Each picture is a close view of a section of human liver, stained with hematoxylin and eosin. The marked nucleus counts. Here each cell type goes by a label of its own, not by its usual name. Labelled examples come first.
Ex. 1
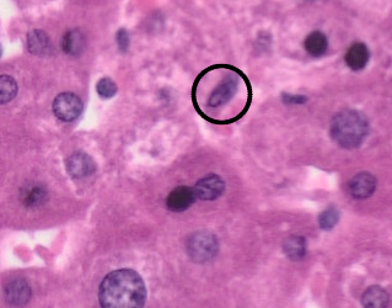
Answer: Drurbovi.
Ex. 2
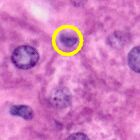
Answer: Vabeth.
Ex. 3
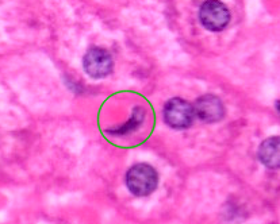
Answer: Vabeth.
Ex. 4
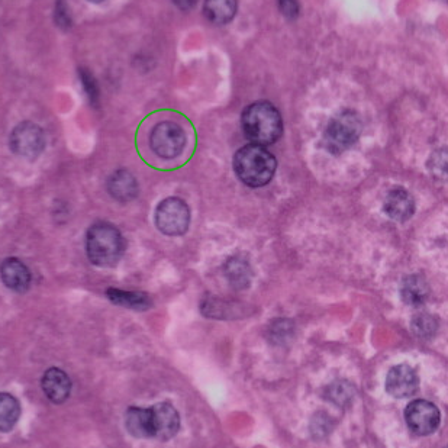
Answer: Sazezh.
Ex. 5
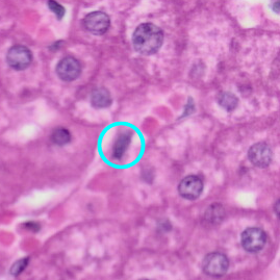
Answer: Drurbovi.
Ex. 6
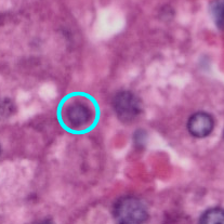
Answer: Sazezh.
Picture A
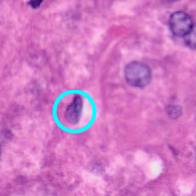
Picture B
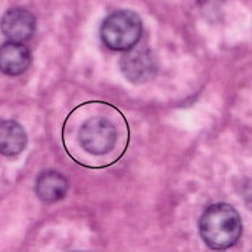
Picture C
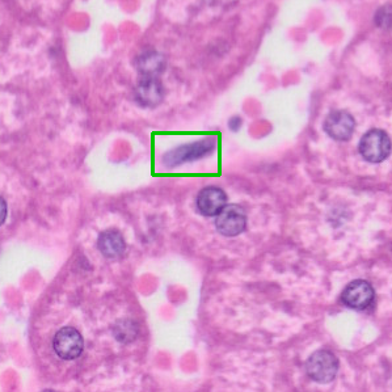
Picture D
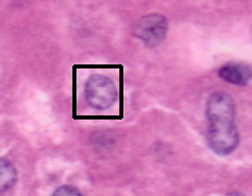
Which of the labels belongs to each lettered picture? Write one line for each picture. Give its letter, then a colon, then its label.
A: Vabeth.
B: Sazezh.
C: Drurbovi.
D: Sazezh.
